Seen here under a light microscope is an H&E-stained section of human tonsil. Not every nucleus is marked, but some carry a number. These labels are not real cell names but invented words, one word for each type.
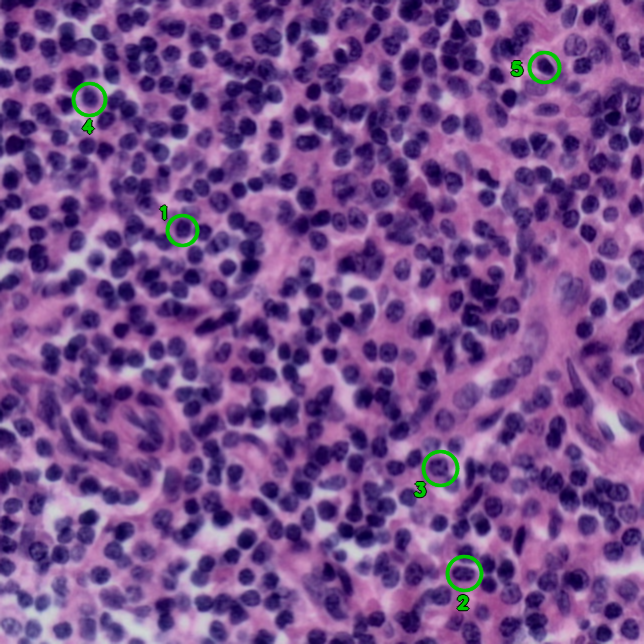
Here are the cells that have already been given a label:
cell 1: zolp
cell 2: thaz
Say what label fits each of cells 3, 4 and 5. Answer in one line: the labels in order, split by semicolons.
thaz; zolp; thaz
